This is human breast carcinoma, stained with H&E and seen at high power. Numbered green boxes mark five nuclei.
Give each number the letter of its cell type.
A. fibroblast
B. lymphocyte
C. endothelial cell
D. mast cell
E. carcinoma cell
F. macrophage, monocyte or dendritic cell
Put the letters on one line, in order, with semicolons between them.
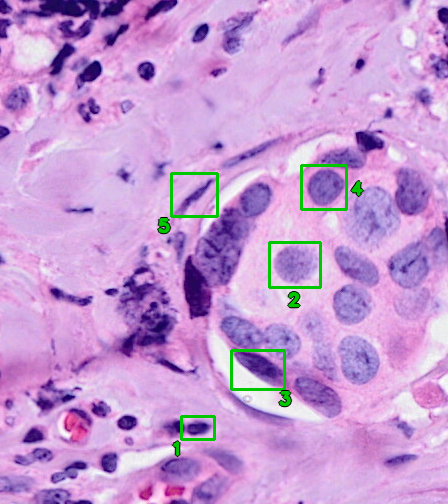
B; E; E; E; A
